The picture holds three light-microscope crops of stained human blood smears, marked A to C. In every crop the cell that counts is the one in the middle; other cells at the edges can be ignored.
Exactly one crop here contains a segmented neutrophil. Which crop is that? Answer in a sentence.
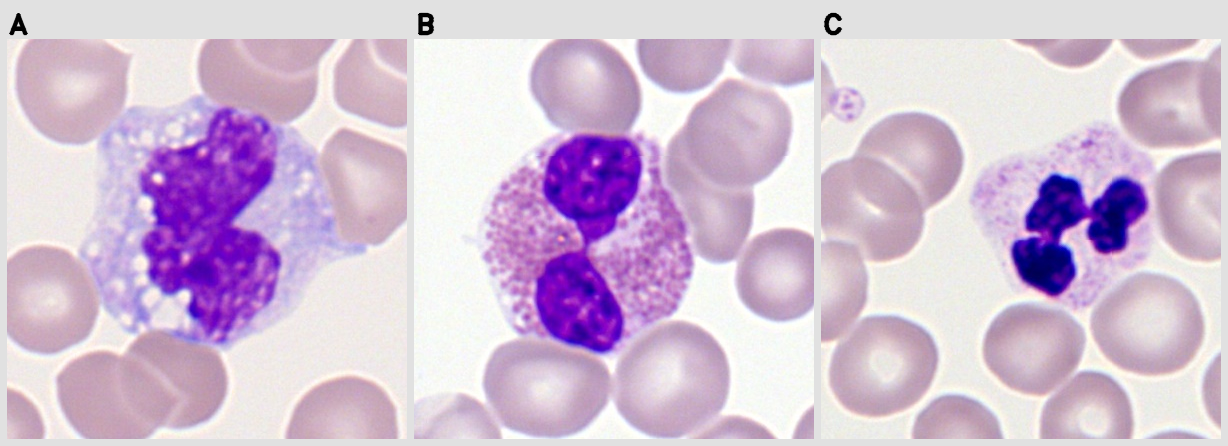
Within this set, crop C is the one with a segmented neutrophil at its center.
